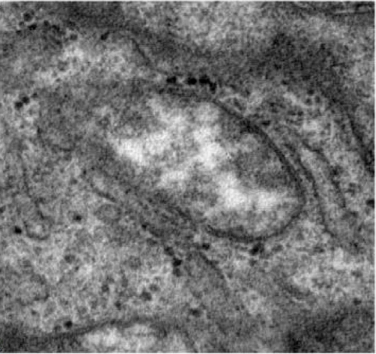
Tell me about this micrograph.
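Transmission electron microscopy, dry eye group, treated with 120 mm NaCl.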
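A mitochondrion in the cytoplasm of a cell is seen at high magnification, its interior pale and electron-lucent. Cristae are scarce or absent, leaving only faint wisps of membrane inside the outline, and membranous profiles lie alongside it in the granular cytoplasm.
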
